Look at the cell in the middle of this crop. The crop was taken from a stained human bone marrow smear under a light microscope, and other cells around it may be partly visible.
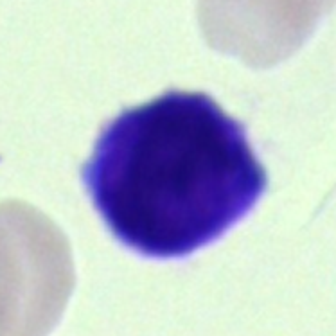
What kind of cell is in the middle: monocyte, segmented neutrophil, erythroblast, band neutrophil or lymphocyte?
lymphocyte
